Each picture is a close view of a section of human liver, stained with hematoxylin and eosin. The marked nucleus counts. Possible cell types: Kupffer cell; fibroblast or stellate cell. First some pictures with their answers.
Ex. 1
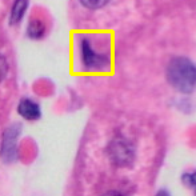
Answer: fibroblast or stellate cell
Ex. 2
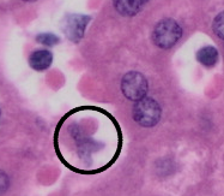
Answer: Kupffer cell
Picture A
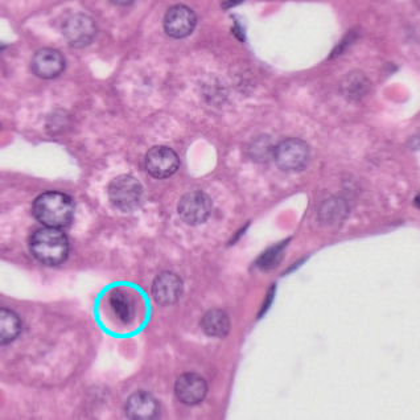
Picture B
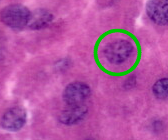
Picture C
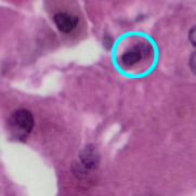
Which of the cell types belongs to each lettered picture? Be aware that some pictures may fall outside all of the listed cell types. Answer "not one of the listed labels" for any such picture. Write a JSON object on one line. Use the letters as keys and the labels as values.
{"A": "Kupffer cell", "B": "not one of the listed labels", "C": "Kupffer cell"}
